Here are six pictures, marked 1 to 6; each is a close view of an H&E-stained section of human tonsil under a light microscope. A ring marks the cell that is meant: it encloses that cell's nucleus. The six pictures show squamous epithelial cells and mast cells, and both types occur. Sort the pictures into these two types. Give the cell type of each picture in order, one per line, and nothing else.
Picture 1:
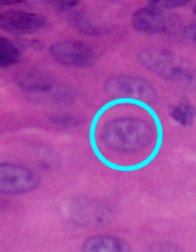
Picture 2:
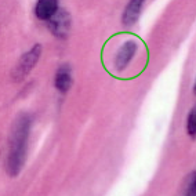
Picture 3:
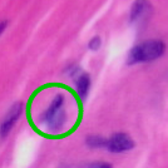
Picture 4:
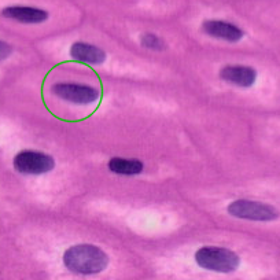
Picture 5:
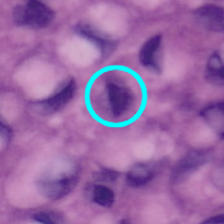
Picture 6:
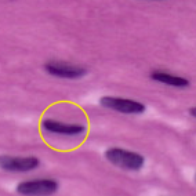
squamous epithelial cell
mast cell
mast cell
squamous epithelial cell
squamous epithelial cell
squamous epithelial cell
